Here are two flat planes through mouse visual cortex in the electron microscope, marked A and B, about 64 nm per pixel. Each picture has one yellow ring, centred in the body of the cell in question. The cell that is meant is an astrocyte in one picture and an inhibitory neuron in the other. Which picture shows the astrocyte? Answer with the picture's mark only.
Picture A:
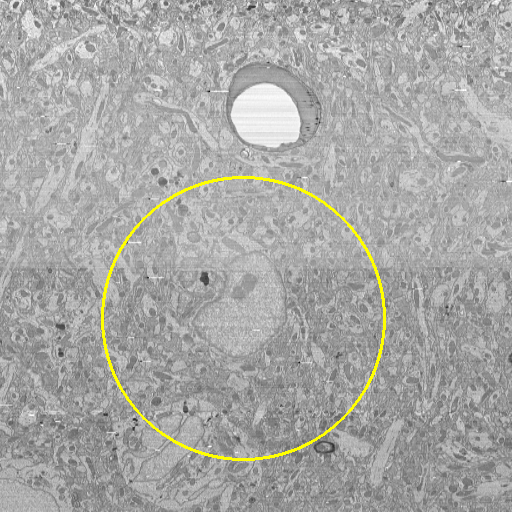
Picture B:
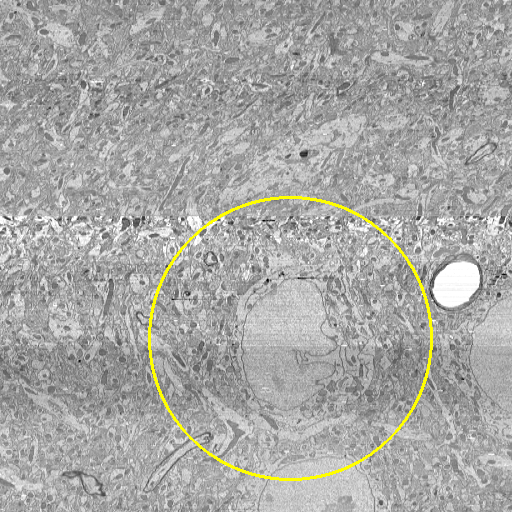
A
